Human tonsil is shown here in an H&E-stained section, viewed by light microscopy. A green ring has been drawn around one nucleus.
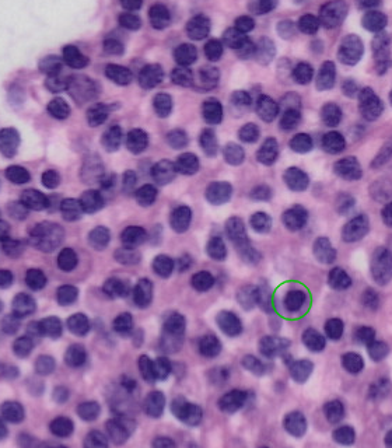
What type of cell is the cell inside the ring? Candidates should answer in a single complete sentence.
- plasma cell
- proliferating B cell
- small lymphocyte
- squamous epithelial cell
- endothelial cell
Histopathologically, the cell inside the ring is a plasma cell.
